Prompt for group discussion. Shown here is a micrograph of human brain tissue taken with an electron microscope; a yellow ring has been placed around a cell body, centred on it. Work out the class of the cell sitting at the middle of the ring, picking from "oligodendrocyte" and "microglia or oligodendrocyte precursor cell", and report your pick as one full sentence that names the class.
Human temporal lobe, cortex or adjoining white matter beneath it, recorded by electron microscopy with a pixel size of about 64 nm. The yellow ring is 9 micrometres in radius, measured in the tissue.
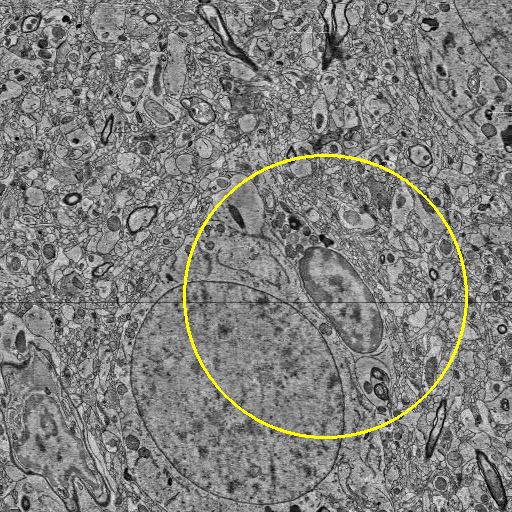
The cell sitting at the middle of the yellow ring is a microglial cell or oligodendrocyte precursor cell.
